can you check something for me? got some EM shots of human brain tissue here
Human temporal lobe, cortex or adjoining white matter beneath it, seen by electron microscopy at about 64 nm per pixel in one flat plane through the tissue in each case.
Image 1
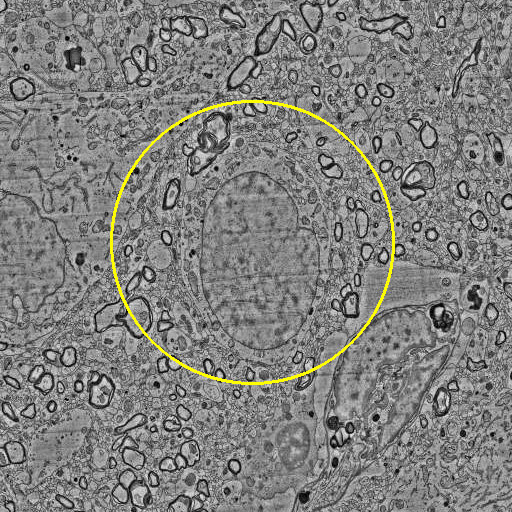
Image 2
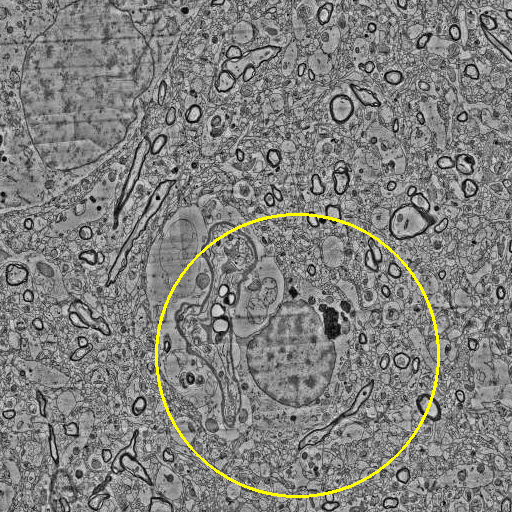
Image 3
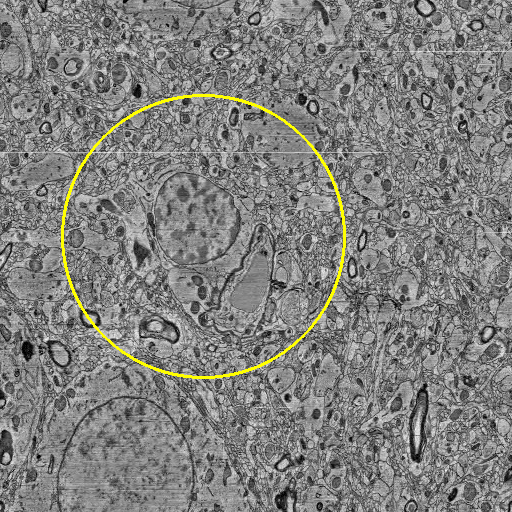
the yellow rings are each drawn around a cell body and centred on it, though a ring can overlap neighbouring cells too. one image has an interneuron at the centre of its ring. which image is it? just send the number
1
